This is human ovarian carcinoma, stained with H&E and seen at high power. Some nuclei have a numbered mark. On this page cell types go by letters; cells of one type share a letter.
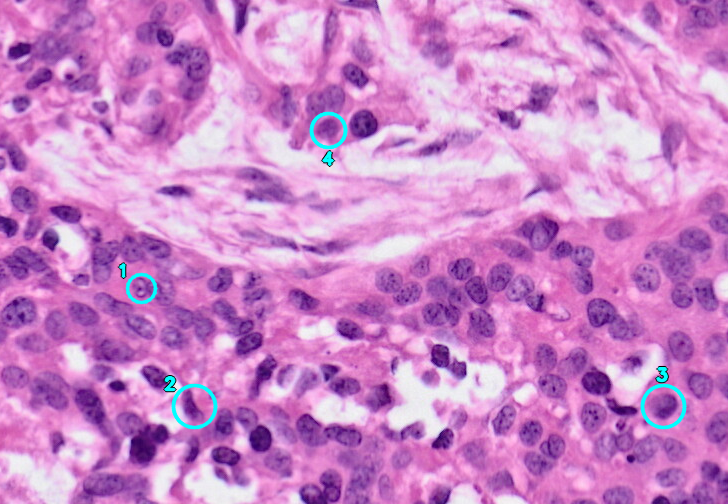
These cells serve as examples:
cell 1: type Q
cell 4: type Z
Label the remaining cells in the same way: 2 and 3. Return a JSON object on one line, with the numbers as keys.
{"2": "type Z", "3": "type Z"}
